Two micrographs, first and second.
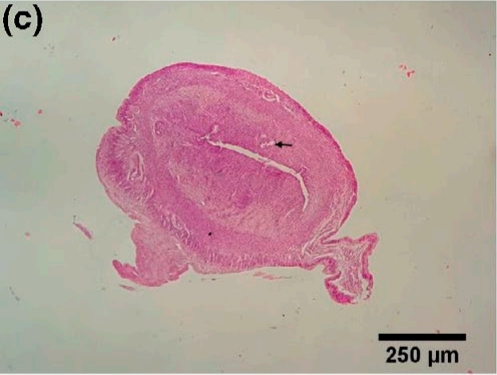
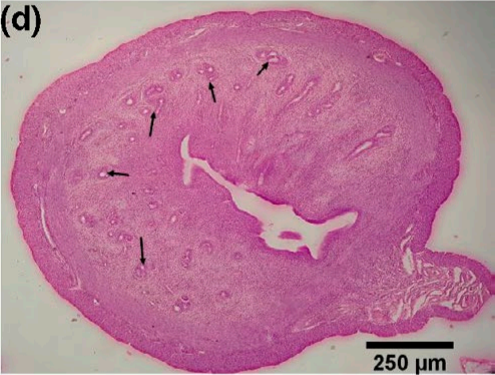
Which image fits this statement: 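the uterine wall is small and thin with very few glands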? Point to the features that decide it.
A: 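Second image: a large cross-section with a thick wall and many glands scattered in the stroma. First image: a much smaller cross-section with a slit-like lumen and only one or two glands.
Hence: the first image.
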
